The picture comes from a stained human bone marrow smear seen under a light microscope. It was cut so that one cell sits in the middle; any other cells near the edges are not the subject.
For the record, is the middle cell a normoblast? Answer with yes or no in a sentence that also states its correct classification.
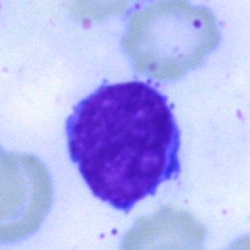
No, the central cell is classed as a lymphocyte and not as a normoblast.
